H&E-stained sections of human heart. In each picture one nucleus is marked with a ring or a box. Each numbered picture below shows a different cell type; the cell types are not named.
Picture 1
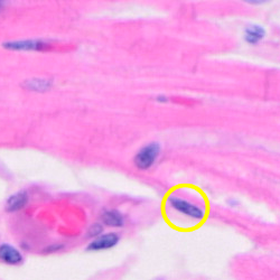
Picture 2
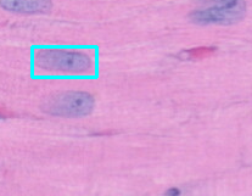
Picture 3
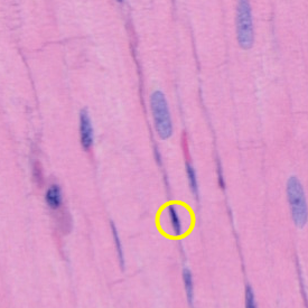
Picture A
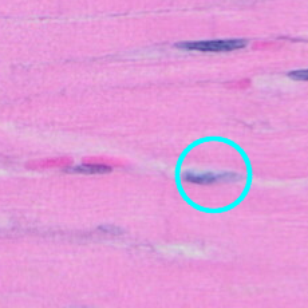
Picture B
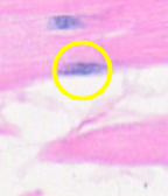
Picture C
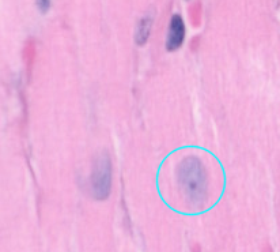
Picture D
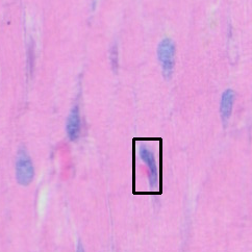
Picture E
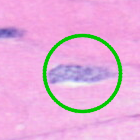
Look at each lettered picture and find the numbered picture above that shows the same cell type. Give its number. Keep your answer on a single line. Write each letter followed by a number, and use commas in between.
A 1, B 3, C 2, D 3, E 2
